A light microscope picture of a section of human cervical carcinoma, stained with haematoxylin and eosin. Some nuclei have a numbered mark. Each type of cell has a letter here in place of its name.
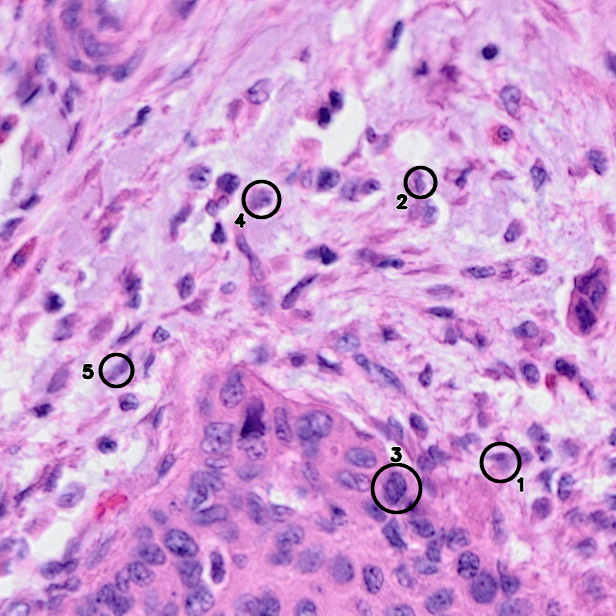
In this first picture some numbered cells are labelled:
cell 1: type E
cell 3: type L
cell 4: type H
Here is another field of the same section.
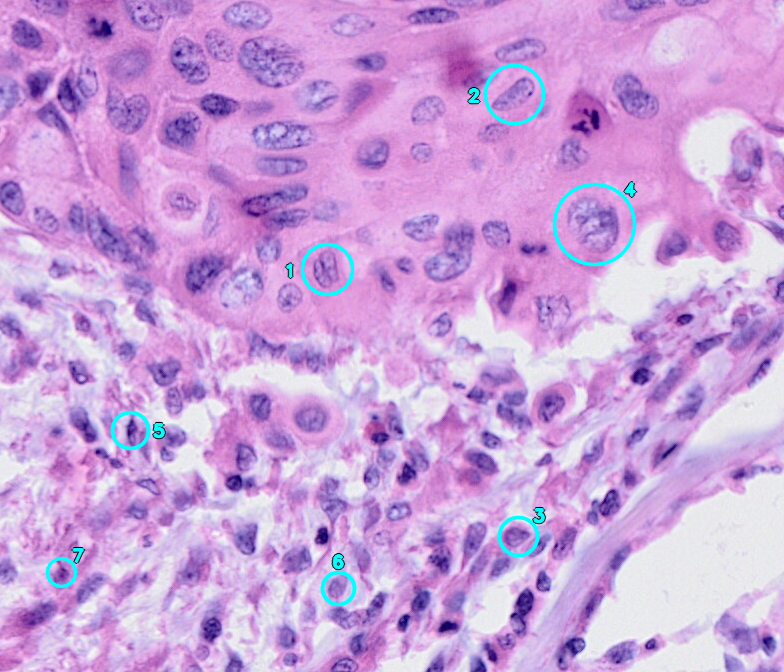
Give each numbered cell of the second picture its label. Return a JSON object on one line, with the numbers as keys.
{"1": "type L", "2": "type L", "3": "type H", "4": "type L", "5": "type E", "6": "type E", "7": "type E"}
